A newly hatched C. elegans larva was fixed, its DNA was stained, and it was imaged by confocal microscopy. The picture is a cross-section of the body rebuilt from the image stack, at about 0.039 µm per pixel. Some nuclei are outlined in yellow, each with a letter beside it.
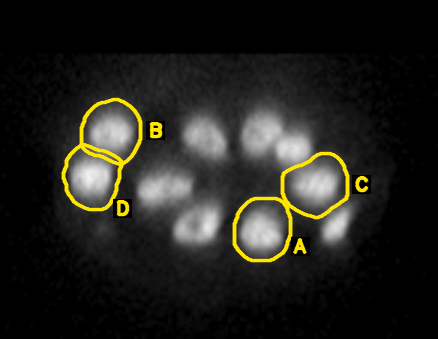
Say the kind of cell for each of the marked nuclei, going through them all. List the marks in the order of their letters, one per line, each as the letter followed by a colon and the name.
A: pharyngeal marginal cell
B: cell of the excretory system
C: pharyngeal muscle cell
D: neuron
